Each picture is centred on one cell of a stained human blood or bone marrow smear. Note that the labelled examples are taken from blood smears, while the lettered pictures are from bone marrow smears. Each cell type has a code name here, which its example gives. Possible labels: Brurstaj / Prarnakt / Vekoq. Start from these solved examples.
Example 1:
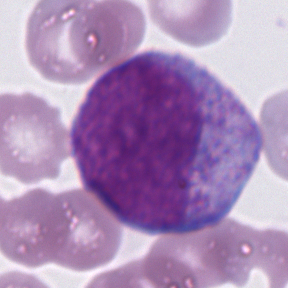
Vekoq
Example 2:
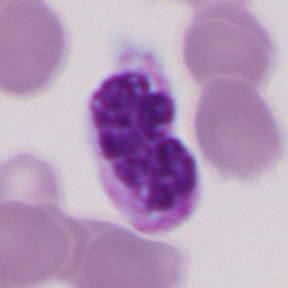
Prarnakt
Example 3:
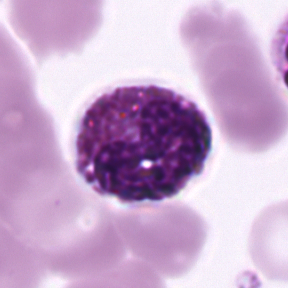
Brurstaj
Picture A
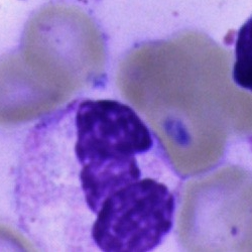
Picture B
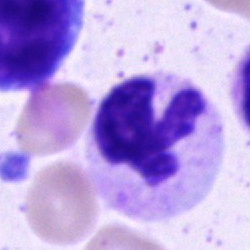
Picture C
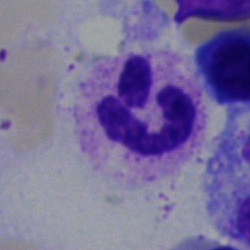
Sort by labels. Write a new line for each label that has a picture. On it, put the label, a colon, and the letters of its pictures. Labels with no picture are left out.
Prarnakt: A, B, C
